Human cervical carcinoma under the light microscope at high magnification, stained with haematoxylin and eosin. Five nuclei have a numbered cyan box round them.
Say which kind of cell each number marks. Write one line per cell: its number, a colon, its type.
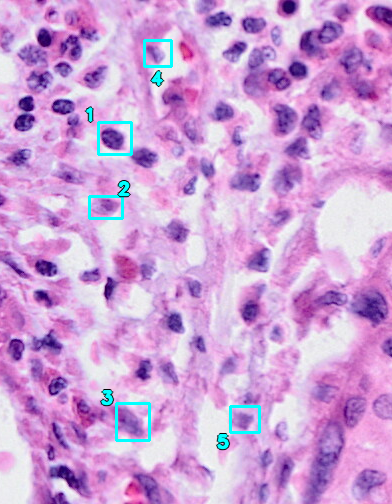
1: lymphocyte
2: fibroblast
3: fibroblast
4: endothelial cell
5: fibroblast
